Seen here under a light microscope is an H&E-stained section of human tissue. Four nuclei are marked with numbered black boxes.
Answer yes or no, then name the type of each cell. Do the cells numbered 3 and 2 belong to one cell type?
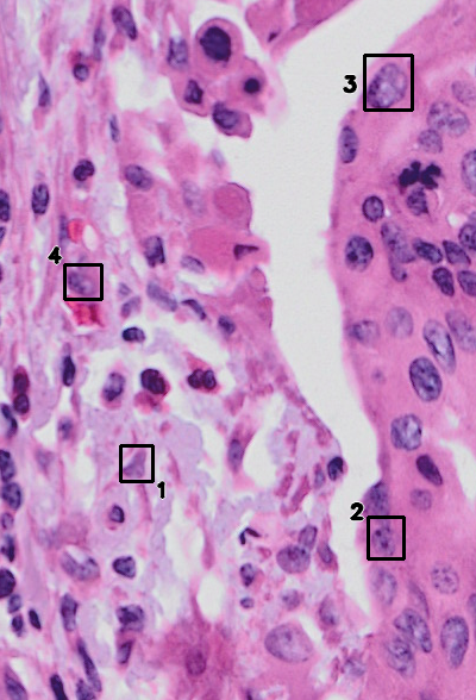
Yes, cells 3 and 2 are both to be classed as squamous carcinoma cells.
